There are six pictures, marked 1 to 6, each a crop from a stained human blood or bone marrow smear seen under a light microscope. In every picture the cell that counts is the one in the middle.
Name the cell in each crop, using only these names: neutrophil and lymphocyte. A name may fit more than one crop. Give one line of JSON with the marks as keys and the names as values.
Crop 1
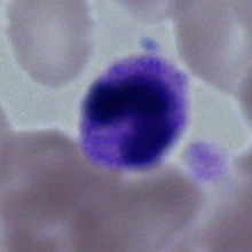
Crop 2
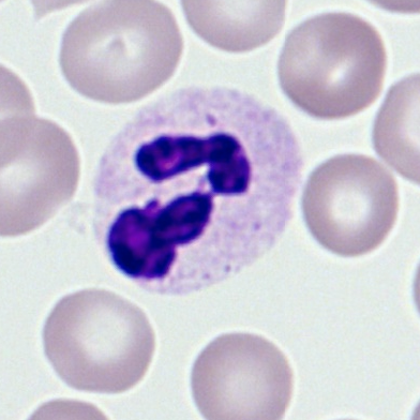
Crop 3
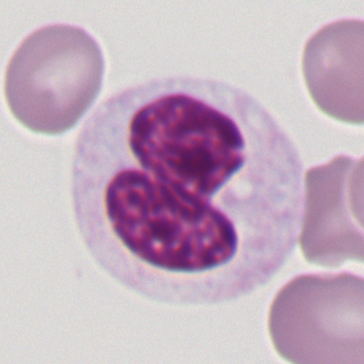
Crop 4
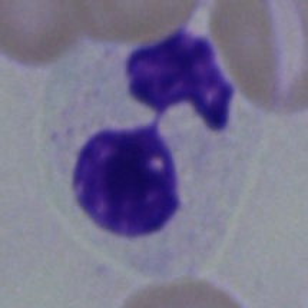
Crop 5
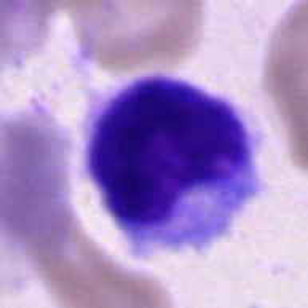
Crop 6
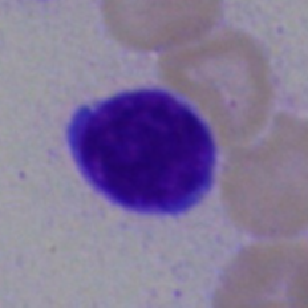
{"1": "neutrophil", "2": "neutrophil", "3": "neutrophil", "4": "neutrophil", "5": "lymphocyte", "6": "lymphocyte"}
